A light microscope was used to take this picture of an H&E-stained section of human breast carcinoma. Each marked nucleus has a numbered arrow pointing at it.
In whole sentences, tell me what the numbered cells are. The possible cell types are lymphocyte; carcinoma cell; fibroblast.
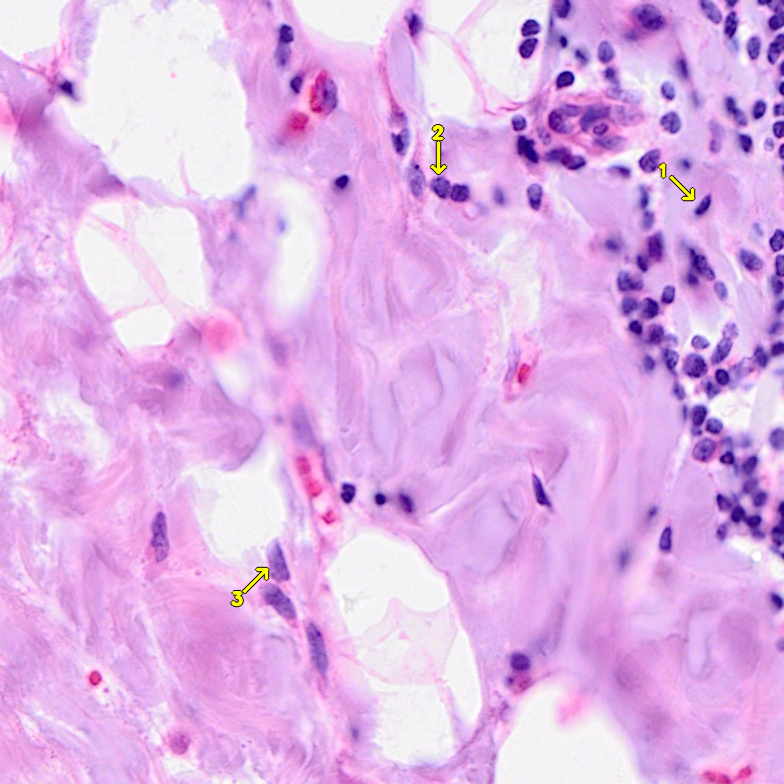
Cells 1 and 2 are lymphocytes. Cell 3 is a fibroblast.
